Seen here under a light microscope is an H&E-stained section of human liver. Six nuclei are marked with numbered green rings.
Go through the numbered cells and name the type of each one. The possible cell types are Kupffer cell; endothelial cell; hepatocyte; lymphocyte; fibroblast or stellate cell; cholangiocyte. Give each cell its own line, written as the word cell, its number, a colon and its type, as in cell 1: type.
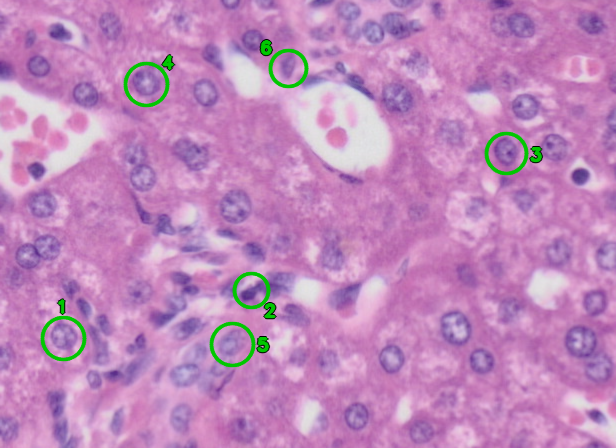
cell 1: hepatocyte
cell 2: fibroblast or stellate cell
cell 3: hepatocyte
cell 4: hepatocyte
cell 5: cholangiocyte
cell 6: fibroblast or stellate cell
